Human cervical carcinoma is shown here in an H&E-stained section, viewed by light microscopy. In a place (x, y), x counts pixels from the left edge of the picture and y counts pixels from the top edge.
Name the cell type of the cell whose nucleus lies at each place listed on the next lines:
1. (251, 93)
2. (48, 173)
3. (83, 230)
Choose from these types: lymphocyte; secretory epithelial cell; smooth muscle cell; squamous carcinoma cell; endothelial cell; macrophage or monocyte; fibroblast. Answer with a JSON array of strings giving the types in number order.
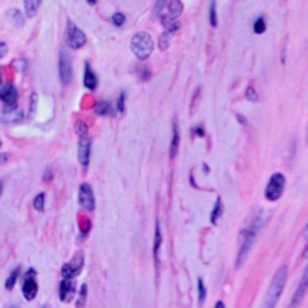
["smooth muscle cell", "smooth muscle cell", "endothelial cell"]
